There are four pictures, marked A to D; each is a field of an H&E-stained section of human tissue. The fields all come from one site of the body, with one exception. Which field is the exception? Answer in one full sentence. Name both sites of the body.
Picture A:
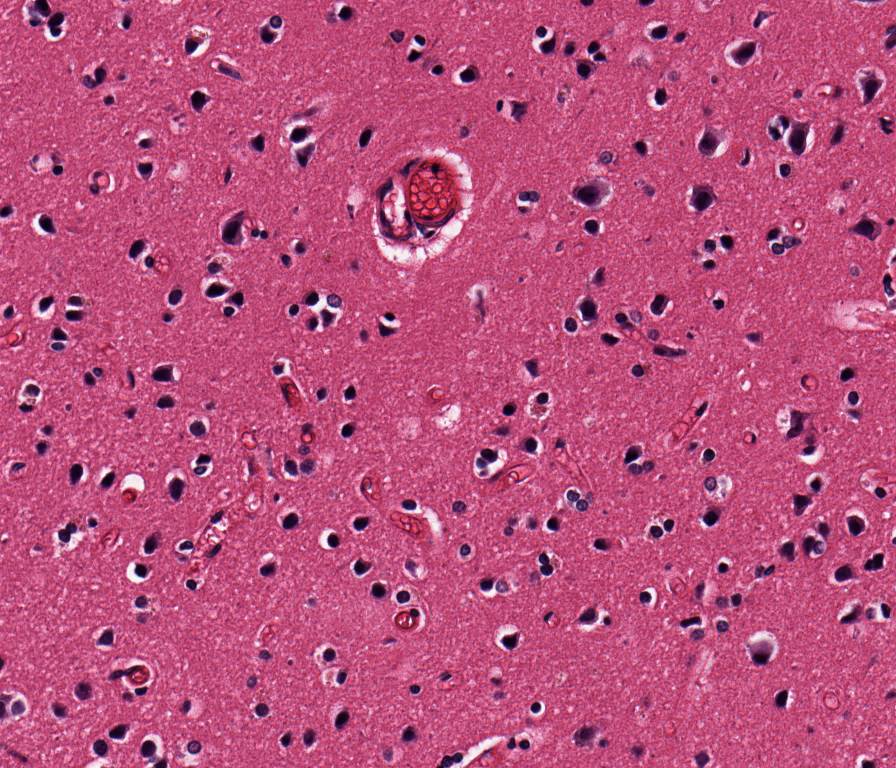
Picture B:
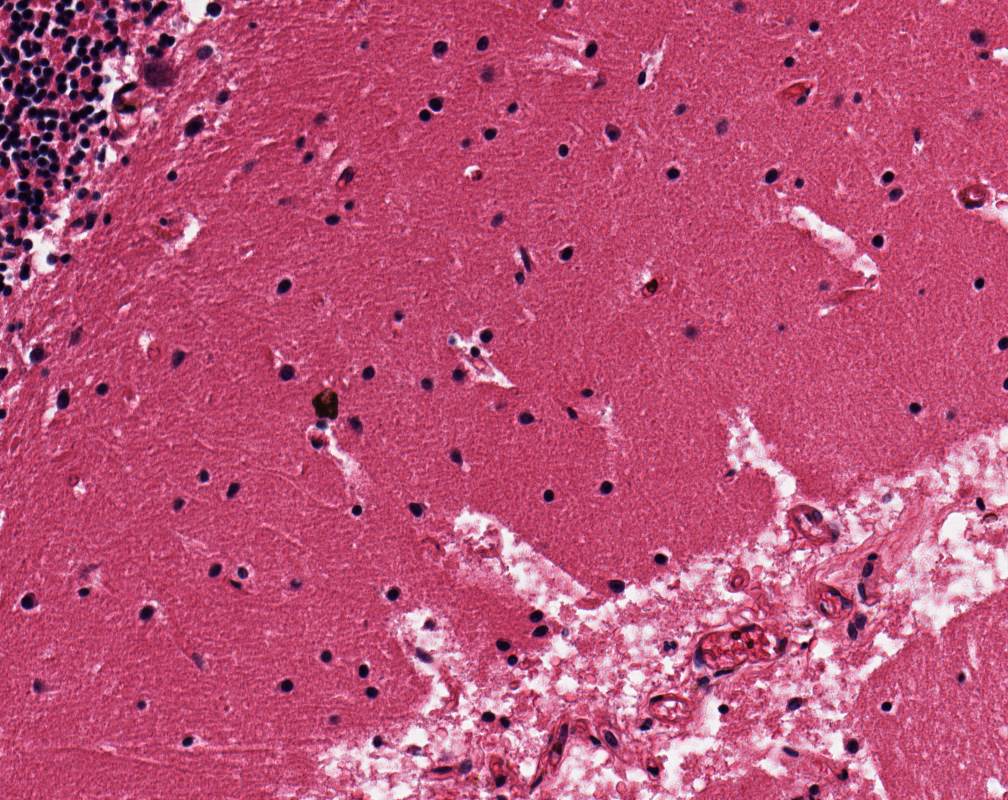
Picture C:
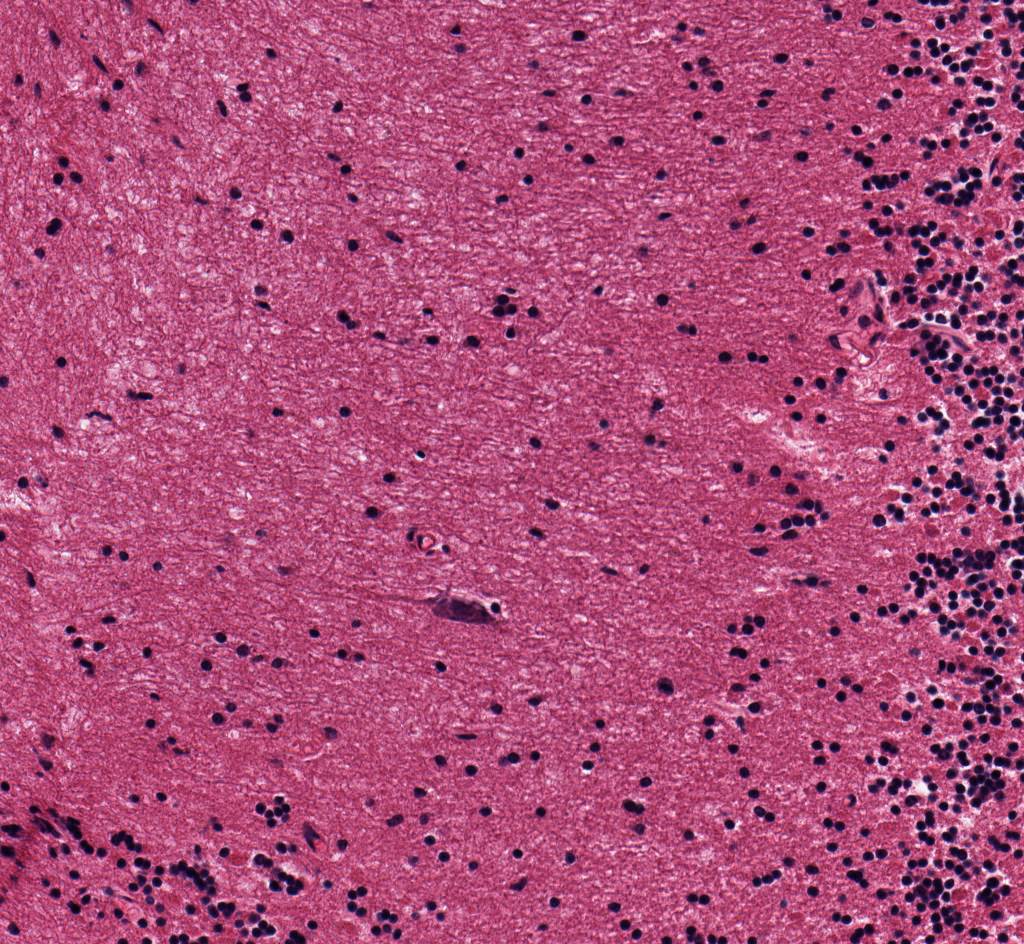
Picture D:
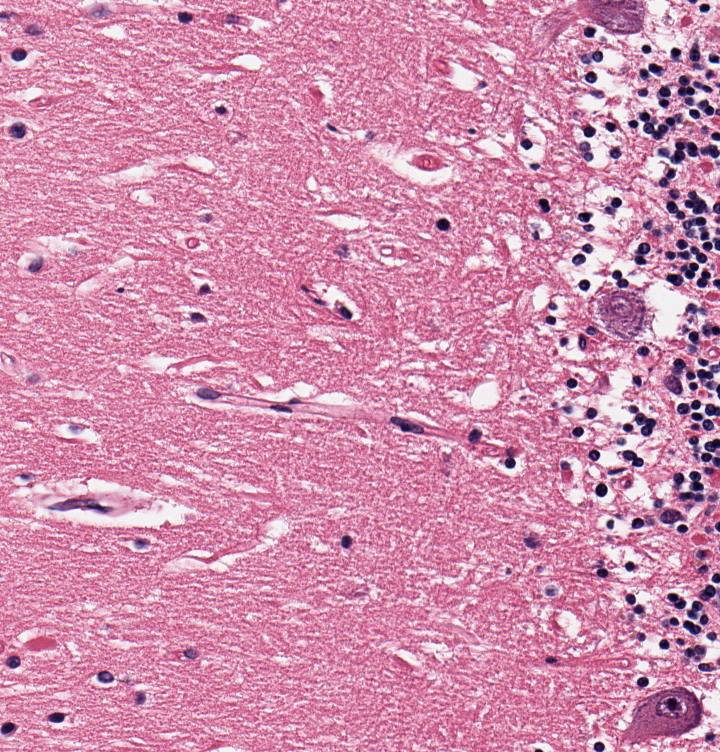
Unlike the rest, which come from the cerebellum, picture A comes from the cerebral cortex.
